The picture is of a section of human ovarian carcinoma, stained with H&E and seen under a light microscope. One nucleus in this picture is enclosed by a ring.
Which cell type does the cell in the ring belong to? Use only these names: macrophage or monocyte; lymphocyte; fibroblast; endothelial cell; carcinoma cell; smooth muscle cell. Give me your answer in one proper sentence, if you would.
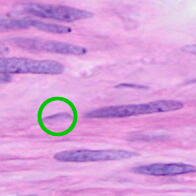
Within this tissue, the cell in the ring is a smooth muscle cell.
